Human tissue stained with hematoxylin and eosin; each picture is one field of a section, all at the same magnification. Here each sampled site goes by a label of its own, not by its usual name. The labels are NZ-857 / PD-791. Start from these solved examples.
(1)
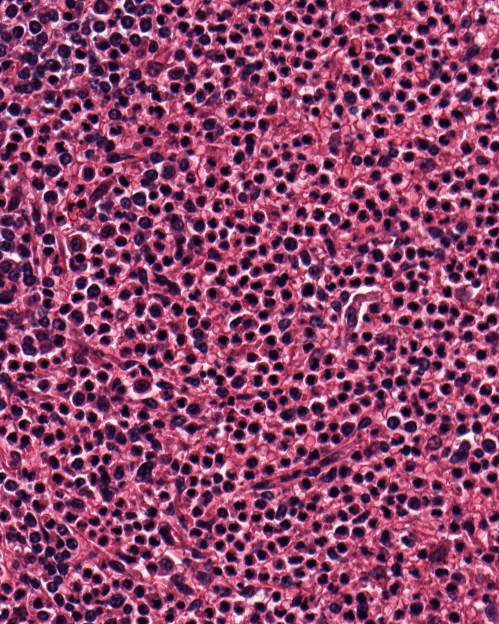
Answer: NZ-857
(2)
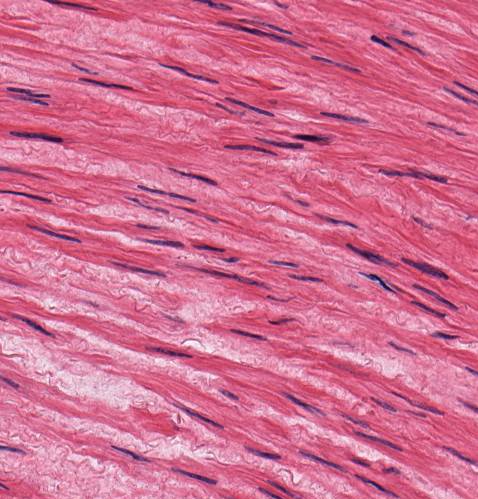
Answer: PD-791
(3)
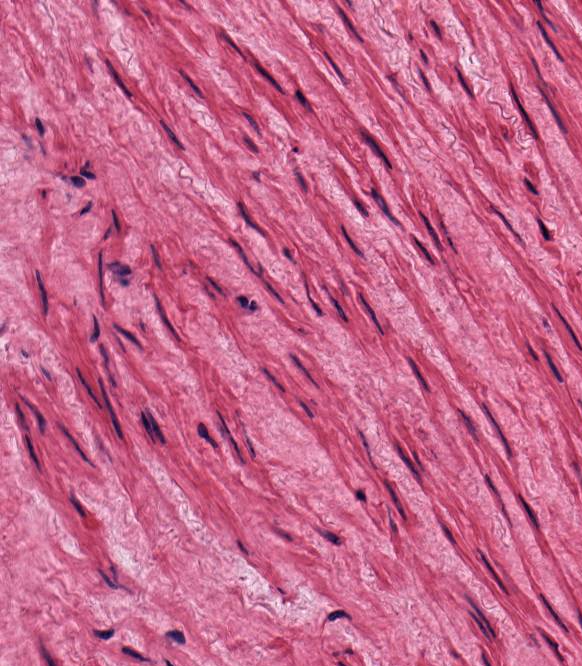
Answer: PD-791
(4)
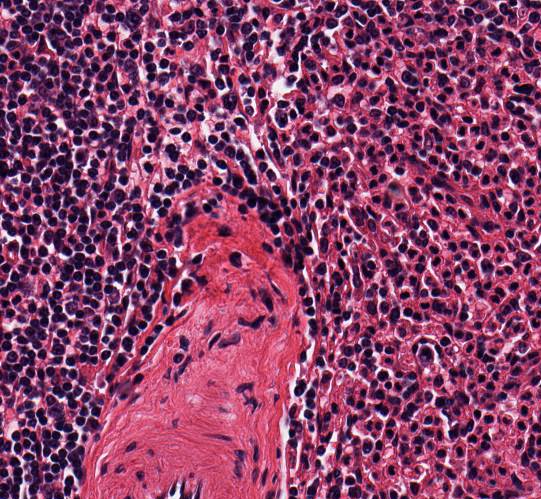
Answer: NZ-857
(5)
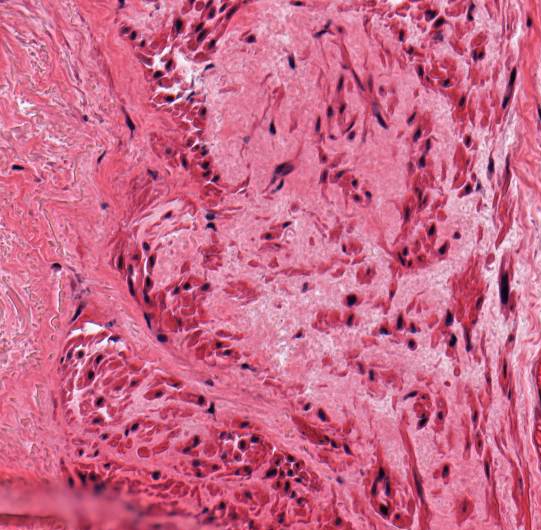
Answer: PD-791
